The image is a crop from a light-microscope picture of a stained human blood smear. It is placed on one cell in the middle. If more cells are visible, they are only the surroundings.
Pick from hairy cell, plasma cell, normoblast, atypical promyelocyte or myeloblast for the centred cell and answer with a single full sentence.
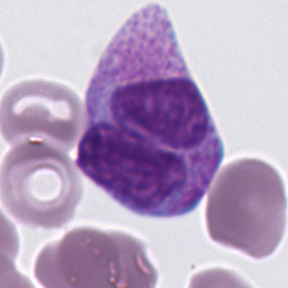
The cell centred in this crop is categorized as an atypical promyelocyte.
